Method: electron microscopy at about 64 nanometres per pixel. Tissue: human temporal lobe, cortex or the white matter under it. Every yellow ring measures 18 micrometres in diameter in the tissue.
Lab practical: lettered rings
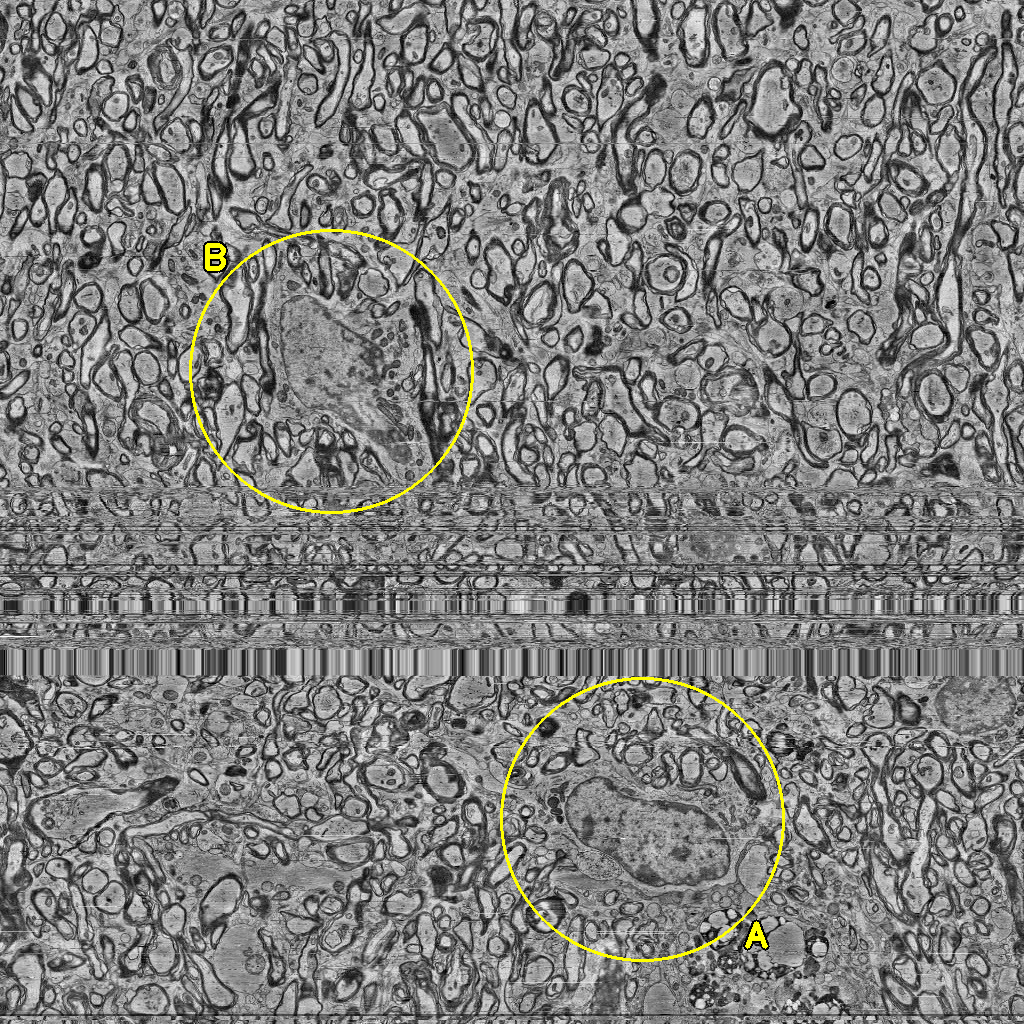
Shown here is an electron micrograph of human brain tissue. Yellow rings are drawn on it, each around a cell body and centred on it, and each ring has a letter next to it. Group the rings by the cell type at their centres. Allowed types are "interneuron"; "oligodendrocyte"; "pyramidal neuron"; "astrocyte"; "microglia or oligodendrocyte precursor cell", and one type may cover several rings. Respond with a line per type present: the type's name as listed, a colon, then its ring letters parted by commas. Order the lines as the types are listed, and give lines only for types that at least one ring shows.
astrocyte: B
microglia or oligodendrocyte precursor cell: A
